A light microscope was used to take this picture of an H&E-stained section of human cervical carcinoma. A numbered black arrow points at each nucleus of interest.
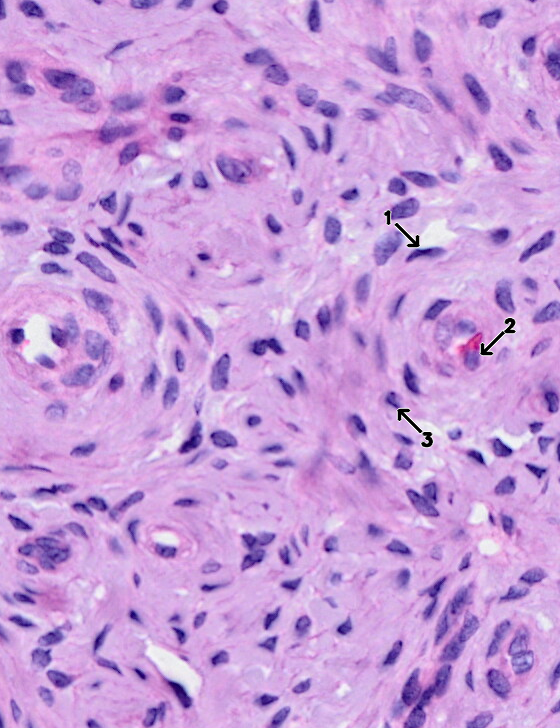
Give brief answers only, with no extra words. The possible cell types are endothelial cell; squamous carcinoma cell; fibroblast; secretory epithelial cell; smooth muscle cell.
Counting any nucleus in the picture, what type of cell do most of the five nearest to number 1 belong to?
fibroblast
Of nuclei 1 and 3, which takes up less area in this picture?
3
